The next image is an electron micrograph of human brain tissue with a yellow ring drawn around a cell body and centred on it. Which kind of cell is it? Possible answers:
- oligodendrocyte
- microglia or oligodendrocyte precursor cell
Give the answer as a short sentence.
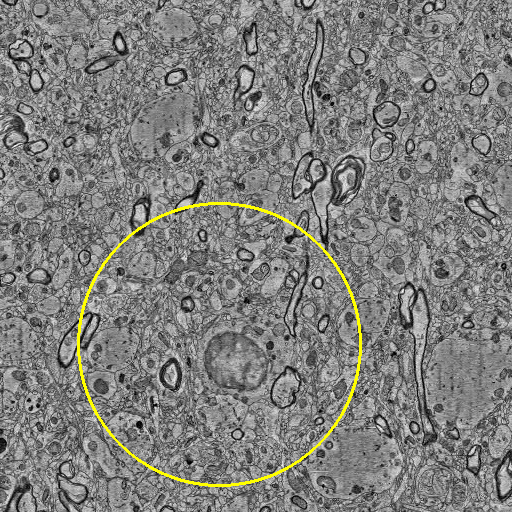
In the ring's centre is an oligodendrocyte.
